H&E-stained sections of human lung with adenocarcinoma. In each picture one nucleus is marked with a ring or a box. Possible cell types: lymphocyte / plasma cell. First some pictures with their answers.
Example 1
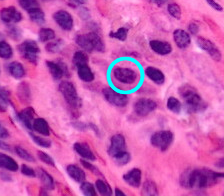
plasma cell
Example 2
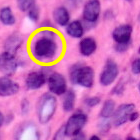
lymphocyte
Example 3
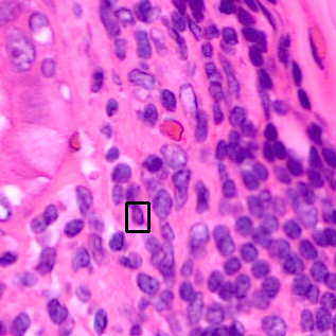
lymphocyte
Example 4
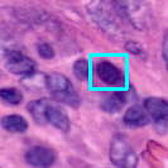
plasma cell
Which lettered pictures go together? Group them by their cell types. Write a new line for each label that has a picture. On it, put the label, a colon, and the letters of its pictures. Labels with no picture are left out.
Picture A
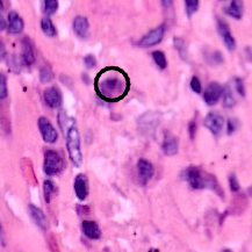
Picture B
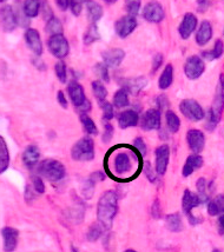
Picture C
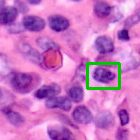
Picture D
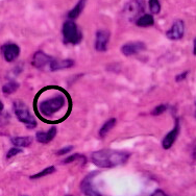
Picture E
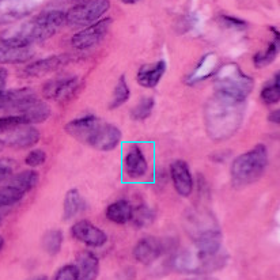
lymphocyte: B, C
plasma cell: A, D, E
